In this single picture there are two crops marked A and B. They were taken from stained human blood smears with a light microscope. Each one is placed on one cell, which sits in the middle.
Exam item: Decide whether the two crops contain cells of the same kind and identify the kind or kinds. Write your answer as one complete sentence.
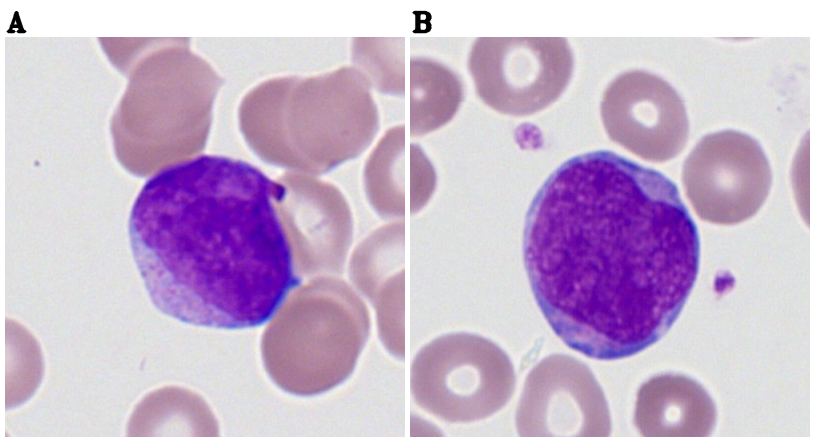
Yes, in both of the crops, the central cells are blasts.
